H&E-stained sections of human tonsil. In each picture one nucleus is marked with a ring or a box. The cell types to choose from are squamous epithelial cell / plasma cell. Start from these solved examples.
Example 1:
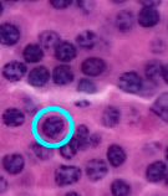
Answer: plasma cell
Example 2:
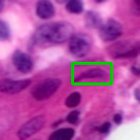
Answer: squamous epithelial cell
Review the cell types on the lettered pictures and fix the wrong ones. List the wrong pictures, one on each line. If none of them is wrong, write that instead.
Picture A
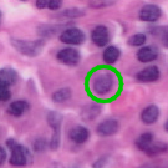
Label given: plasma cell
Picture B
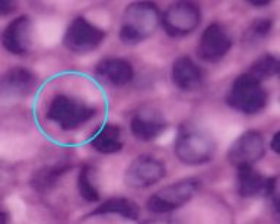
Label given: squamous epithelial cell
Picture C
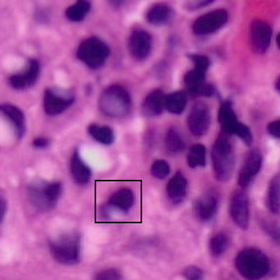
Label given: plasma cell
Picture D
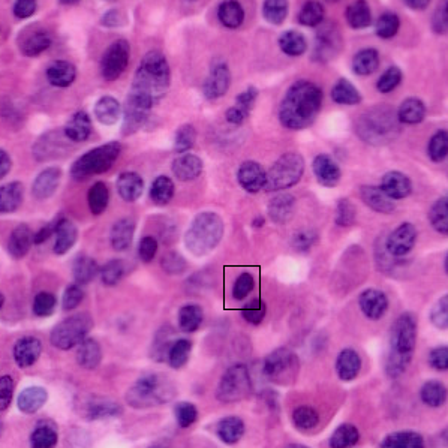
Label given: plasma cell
C is labelled plasma cell; correct label: squamous epithelial cell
